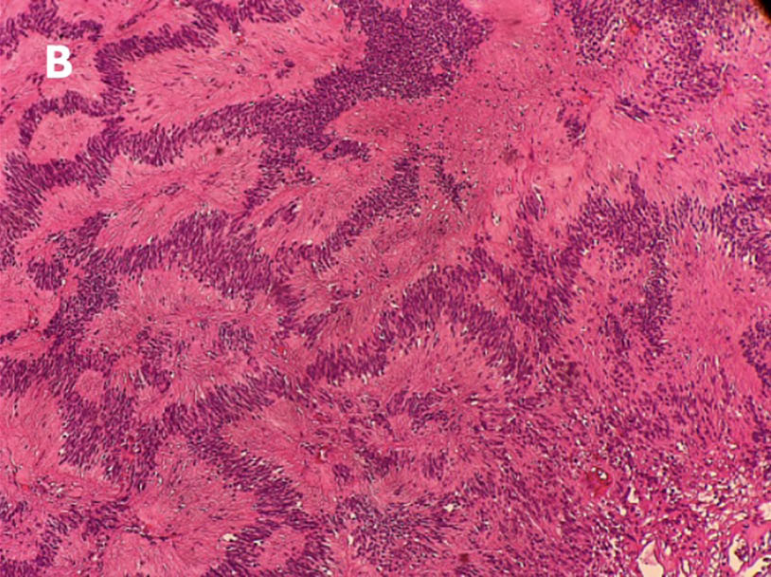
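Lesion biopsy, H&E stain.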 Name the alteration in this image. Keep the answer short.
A: Schwannomas.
